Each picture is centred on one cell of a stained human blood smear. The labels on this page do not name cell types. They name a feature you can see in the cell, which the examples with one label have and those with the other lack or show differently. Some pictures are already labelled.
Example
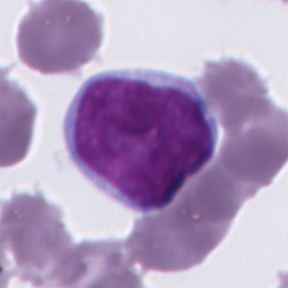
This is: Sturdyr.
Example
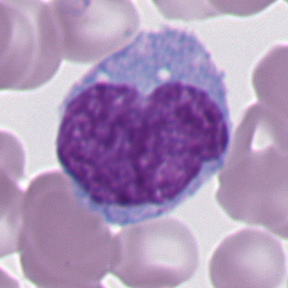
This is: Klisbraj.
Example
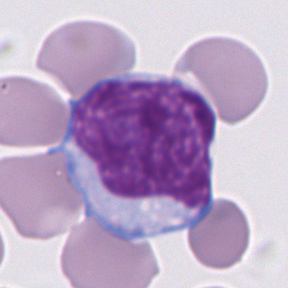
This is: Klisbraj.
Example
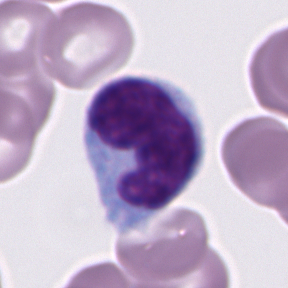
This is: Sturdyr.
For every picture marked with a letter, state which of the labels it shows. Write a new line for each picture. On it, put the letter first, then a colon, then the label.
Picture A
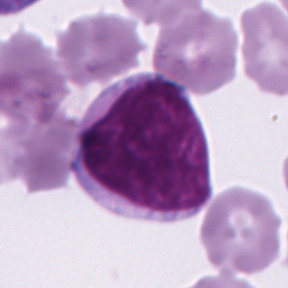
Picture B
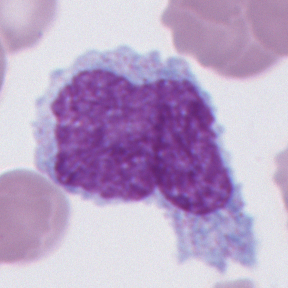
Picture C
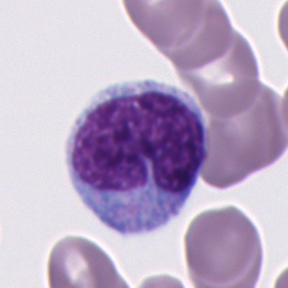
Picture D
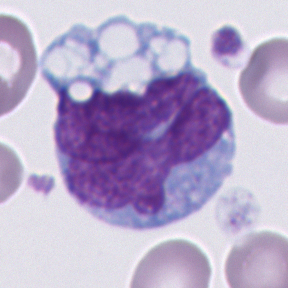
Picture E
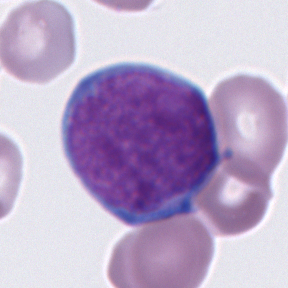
A: Sturdyr.
B: Sturdyr.
C: Sturdyr.
D: Klisbraj.
E: Sturdyr.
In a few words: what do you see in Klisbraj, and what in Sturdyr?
Klisbraj, vacuoles present; Sturdyr, no vacuoles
